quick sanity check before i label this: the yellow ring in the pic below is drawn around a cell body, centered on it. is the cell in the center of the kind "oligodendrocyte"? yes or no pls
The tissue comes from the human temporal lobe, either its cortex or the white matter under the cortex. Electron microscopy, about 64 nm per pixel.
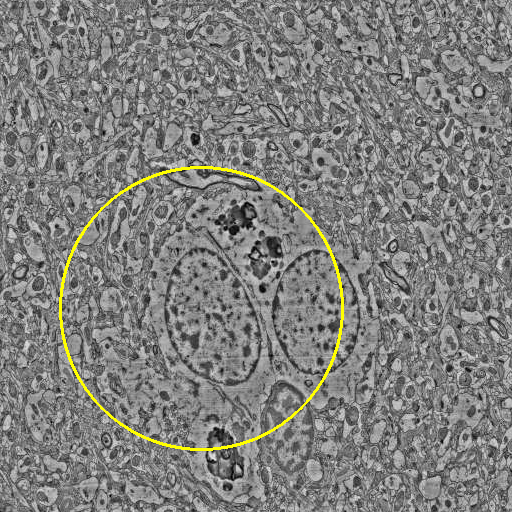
no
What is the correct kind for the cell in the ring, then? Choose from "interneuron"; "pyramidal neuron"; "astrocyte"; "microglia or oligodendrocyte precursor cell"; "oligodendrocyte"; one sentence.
Instead, the cell at the centre of the ring is an astrocyte.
